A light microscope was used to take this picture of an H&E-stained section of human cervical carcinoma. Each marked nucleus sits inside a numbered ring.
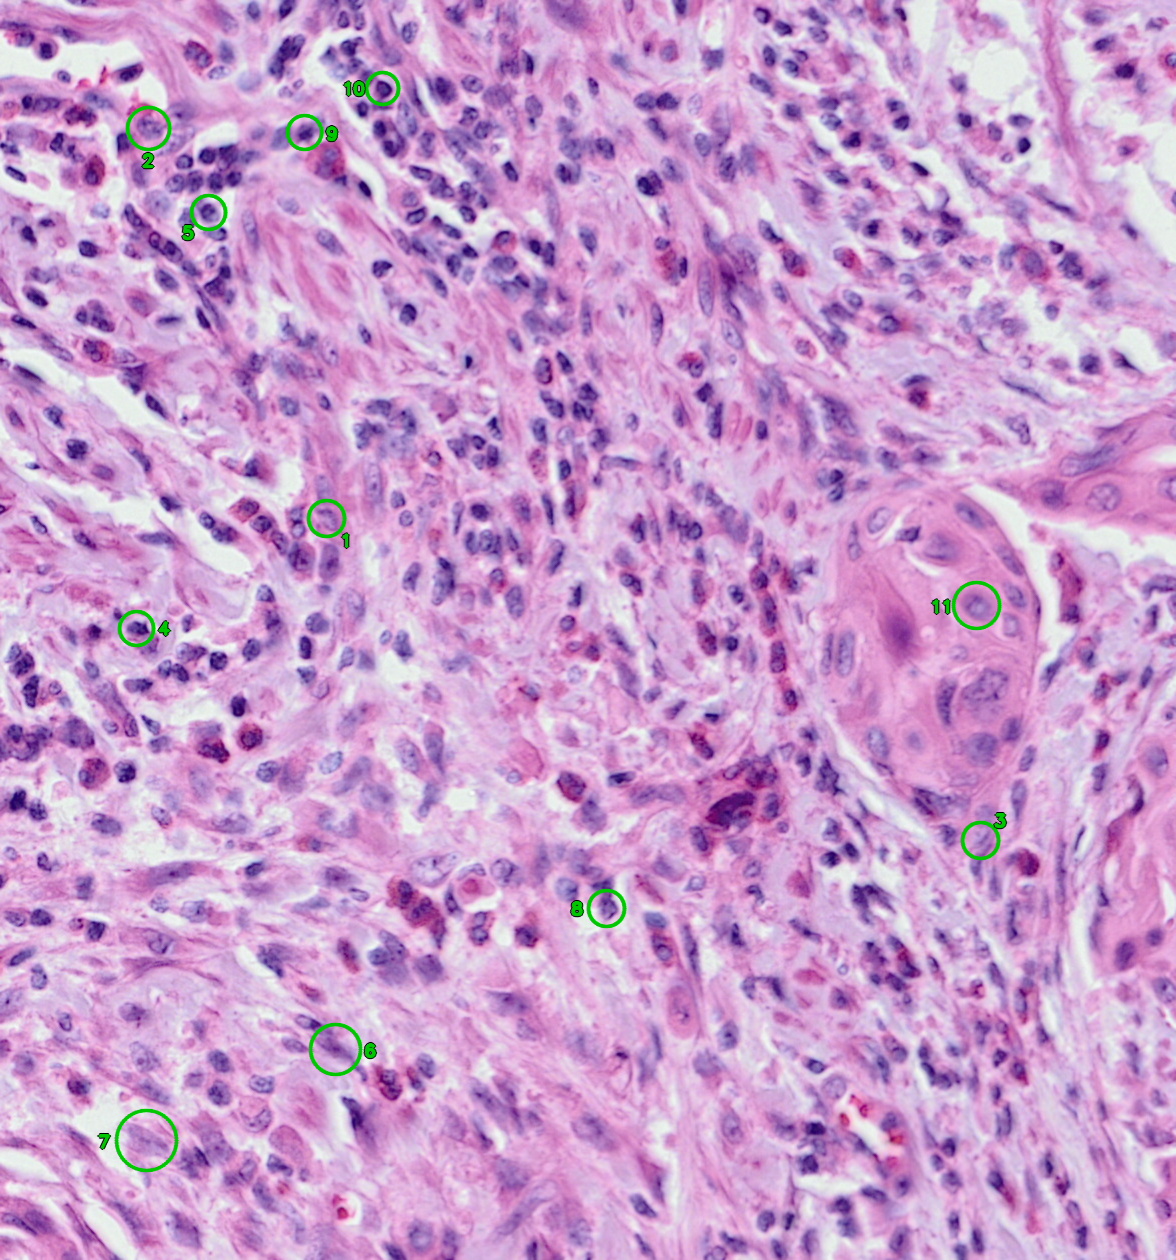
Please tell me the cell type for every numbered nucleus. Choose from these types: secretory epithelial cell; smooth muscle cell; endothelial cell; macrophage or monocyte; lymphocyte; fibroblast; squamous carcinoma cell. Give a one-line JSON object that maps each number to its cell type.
{"1": "endothelial cell", "2": "endothelial cell", "3": "endothelial cell", "4": "lymphocyte", "5": "lymphocyte", "6": "fibroblast", "7": "fibroblast", "8": "lymphocyte", "9": "lymphocyte", "10": "lymphocyte", "11": "squamous carcinoma cell"}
